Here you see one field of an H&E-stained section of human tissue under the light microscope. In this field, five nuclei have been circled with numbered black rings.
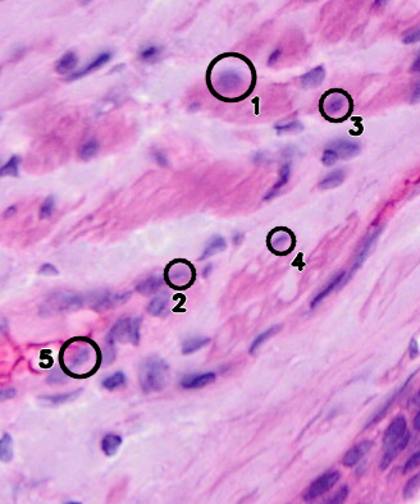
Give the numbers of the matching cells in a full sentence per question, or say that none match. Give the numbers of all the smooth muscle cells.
The cells picked out by numbers 1, 3 and 4 are smooth muscle cells.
